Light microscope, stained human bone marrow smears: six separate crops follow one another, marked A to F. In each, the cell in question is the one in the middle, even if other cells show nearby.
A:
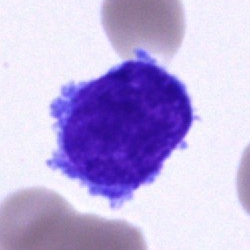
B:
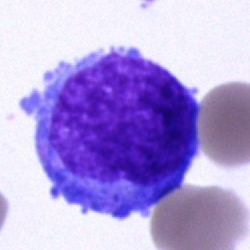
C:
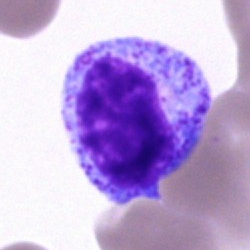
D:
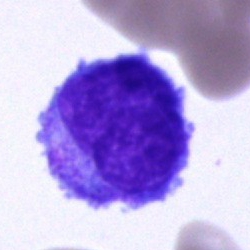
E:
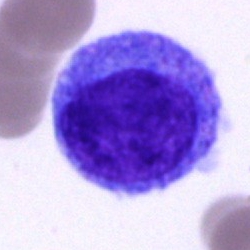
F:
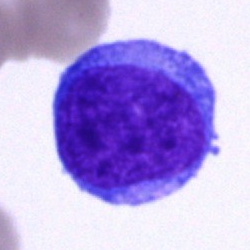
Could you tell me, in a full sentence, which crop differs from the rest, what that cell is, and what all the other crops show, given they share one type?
Crop C is the outlier, with a myelocyte against blasts in the rest.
